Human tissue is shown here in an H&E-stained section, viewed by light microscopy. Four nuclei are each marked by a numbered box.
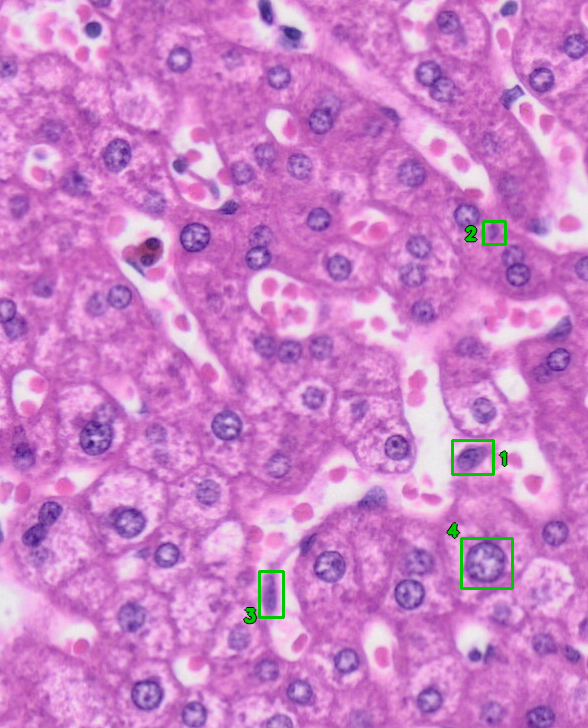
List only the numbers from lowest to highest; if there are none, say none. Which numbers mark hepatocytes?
4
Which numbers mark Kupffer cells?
1, 3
